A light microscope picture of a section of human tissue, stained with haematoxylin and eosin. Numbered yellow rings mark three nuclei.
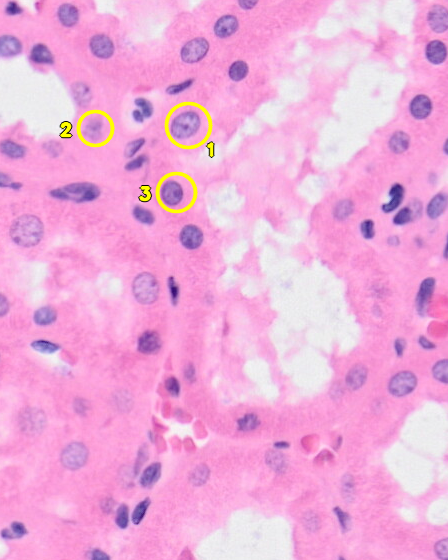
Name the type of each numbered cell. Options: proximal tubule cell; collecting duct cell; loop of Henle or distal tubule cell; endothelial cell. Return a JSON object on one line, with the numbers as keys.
{"1": "proximal tubule cell", "2": "loop of Henle or distal tubule cell", "3": "proximal tubule cell"}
